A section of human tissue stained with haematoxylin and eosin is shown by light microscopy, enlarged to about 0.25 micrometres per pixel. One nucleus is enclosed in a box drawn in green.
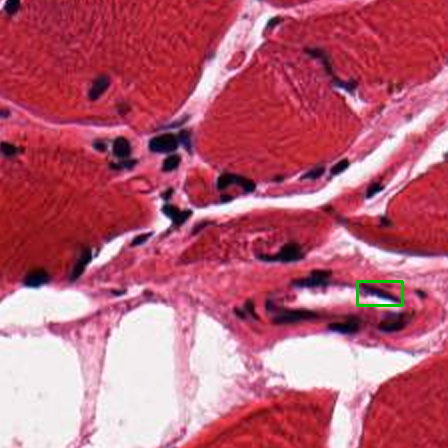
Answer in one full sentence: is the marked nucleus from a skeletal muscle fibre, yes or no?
No, it is to a supporting cell that the marked nucleus belongs, not to a skeletal muscle fibre.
